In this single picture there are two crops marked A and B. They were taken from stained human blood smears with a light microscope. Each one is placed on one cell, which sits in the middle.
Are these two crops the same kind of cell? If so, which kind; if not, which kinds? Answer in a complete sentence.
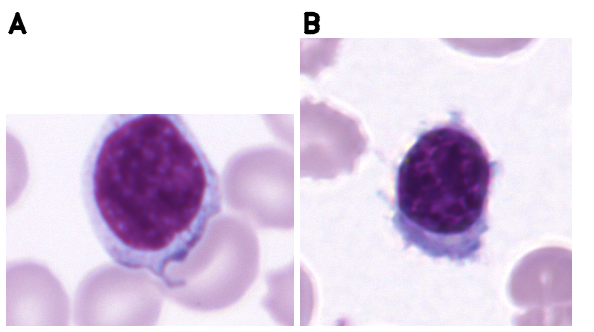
No, crop A presents a typical lymphocyte, whereas crop B presents a plasma cell.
